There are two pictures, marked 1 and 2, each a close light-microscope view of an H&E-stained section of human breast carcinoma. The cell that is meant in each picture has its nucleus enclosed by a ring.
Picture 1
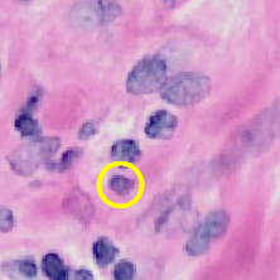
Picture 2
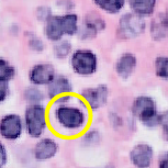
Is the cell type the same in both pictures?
yes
